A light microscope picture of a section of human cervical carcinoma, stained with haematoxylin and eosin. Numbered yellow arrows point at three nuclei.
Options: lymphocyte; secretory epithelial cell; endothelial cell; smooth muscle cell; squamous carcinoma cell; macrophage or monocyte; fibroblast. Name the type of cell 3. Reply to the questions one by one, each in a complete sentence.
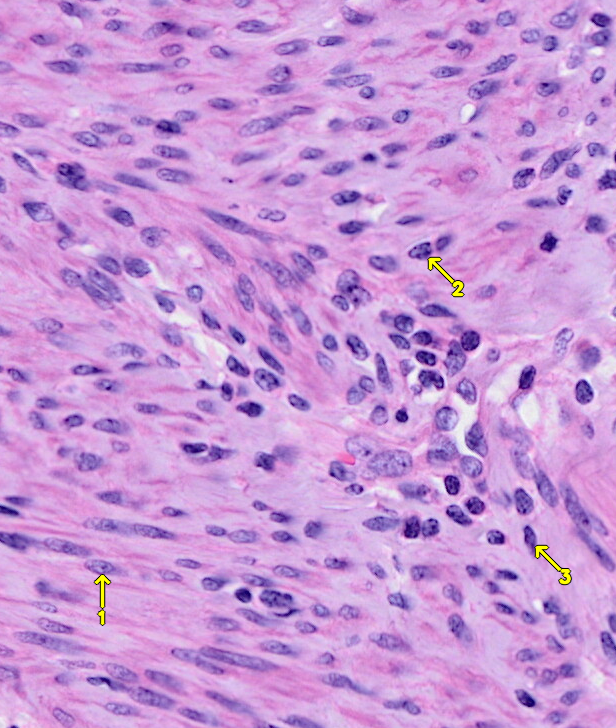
Regarding cell 3, this one is a fibroblast.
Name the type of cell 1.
Numbered cell 1 is a smooth muscle cell in this tissue section.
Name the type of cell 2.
The cell indicated by marker 2 is a lymphocyte in this section.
